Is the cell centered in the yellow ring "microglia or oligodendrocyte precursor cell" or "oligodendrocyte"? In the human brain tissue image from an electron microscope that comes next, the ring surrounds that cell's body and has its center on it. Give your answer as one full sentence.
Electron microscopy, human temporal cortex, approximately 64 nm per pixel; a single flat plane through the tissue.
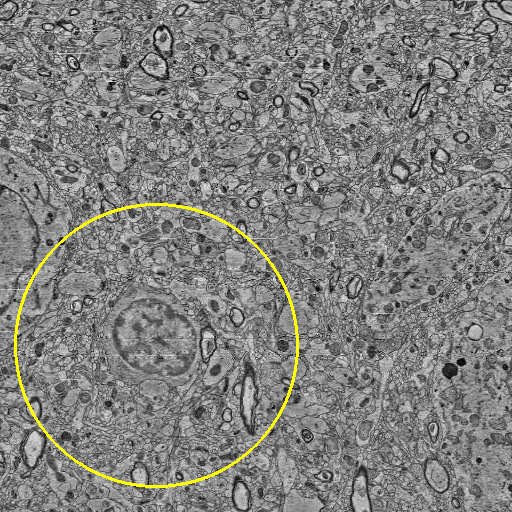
The cell at the center of the yellow ring is an oligodendrocyte in the micrograph.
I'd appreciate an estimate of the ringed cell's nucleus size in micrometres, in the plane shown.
The nucleus has a long axis of about 6 micrometres and a short axis of about 5 micrometres in this plane.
